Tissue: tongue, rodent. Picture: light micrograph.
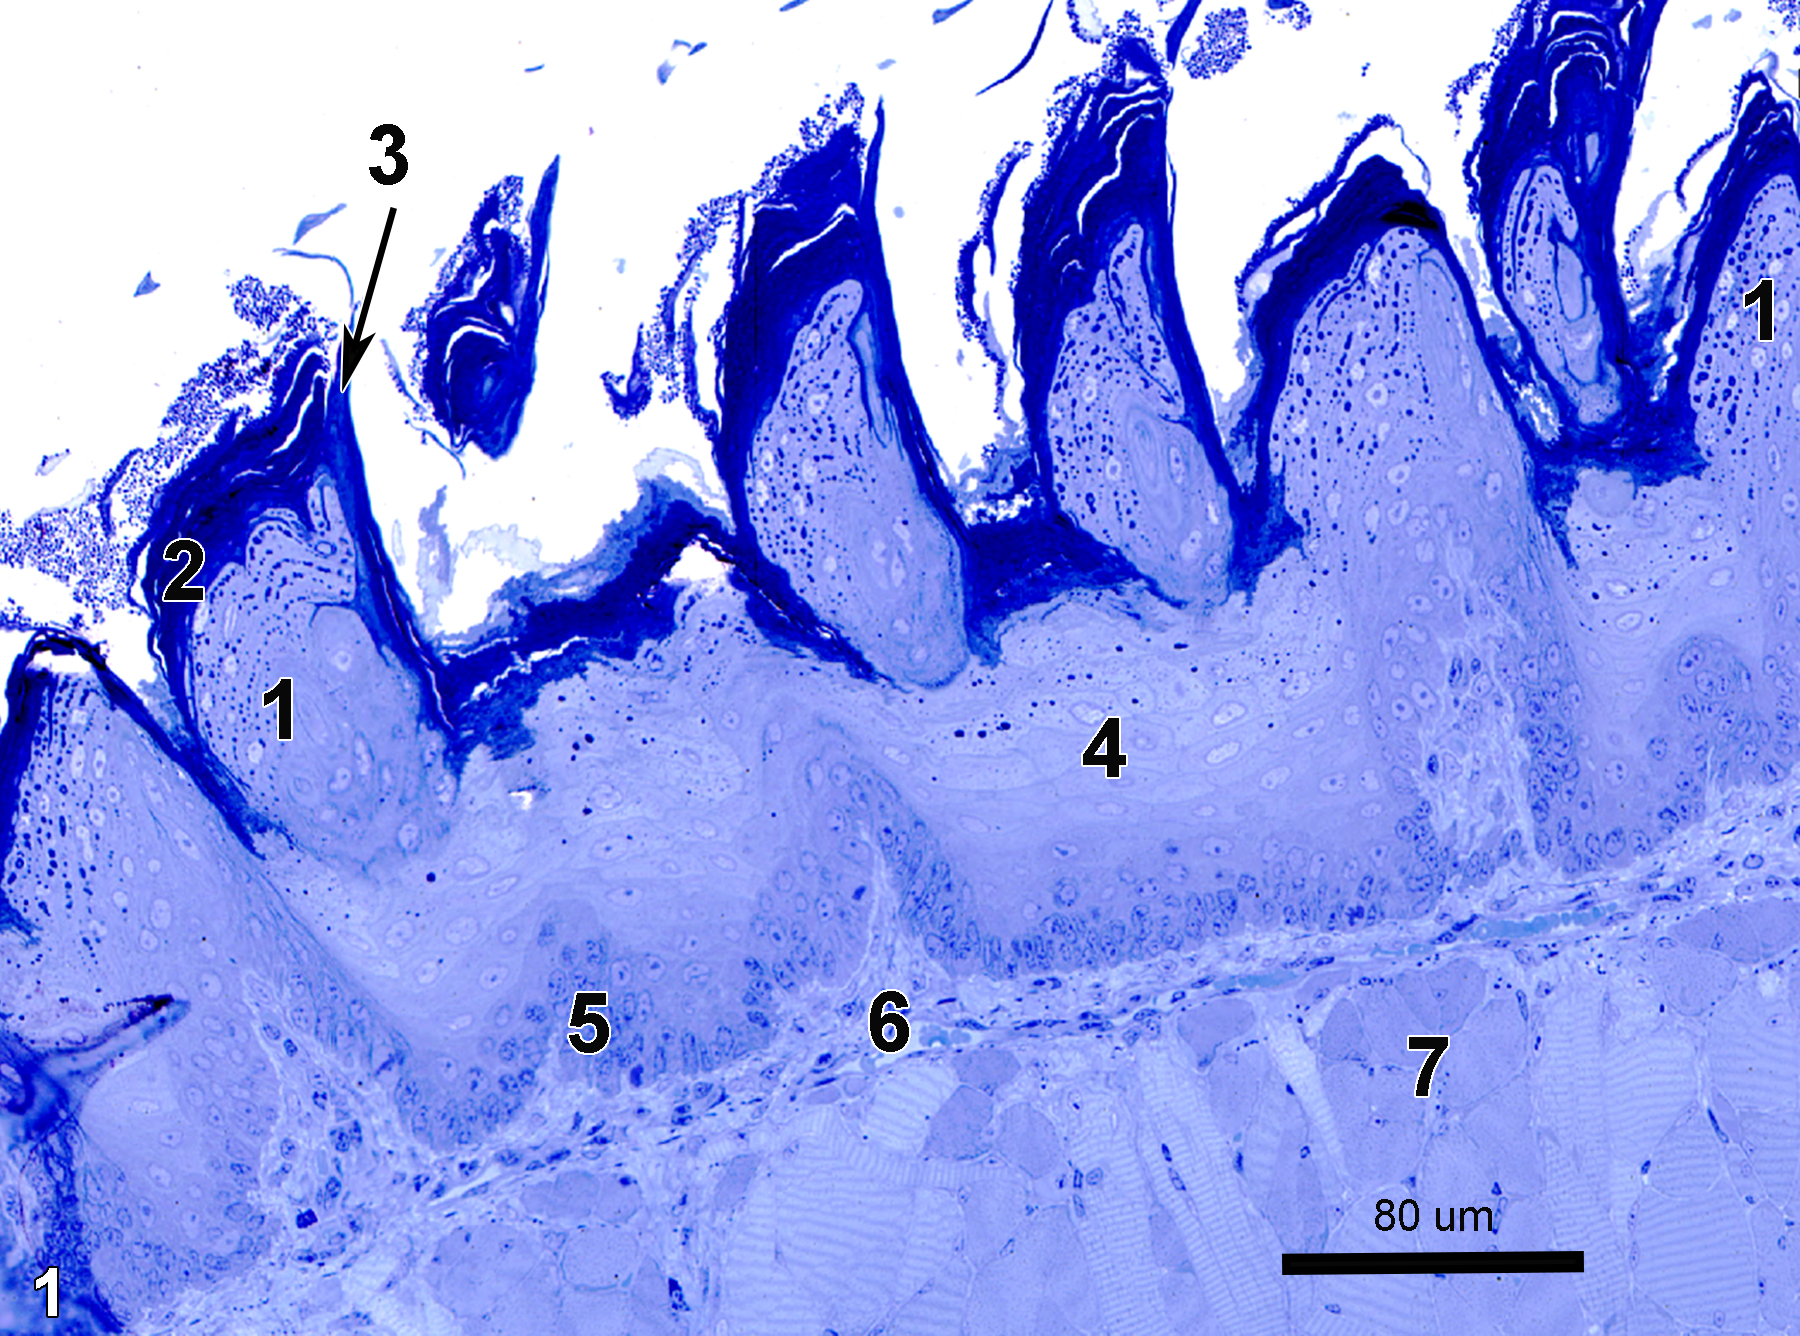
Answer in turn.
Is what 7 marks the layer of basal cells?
No, 7 marks the striated muscle cell layer.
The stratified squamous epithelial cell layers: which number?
The stratified squamous epithelial cell layers: 4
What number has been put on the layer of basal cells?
5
